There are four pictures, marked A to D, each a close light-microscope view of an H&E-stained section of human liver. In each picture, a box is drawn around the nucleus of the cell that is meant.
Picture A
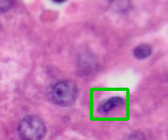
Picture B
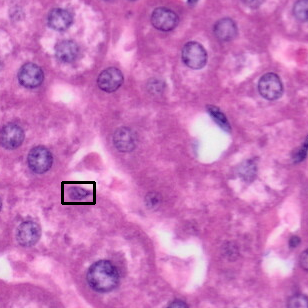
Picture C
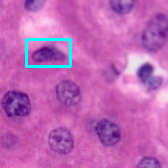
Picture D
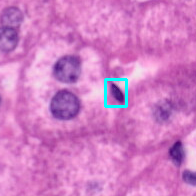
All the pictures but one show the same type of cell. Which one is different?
A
